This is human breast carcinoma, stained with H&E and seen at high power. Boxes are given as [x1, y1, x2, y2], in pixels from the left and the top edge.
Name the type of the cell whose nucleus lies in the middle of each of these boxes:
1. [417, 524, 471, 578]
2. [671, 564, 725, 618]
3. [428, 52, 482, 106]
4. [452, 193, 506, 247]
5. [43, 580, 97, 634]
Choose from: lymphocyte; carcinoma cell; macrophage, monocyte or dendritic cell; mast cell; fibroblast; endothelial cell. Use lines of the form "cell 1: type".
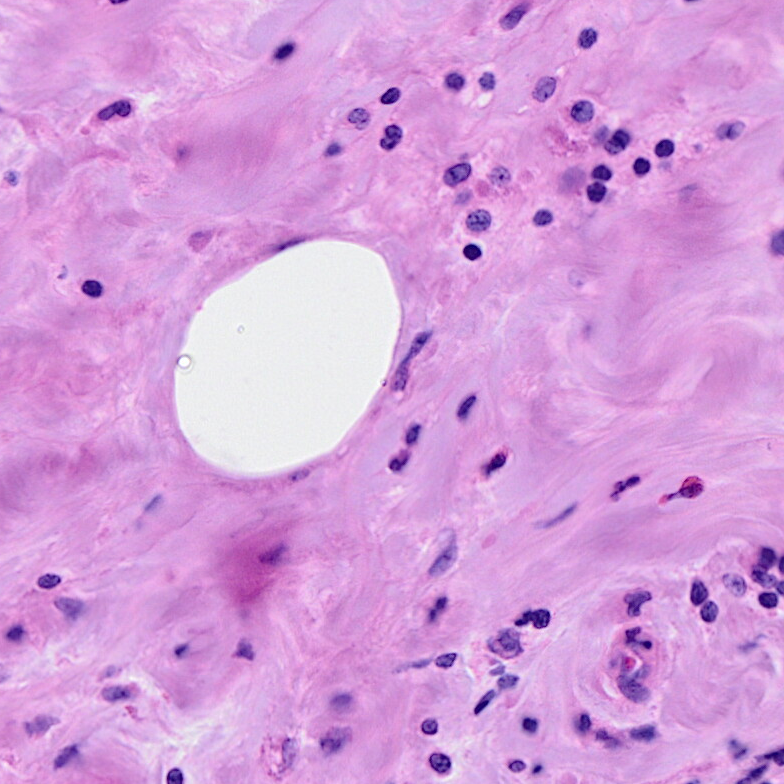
cell 1: fibroblast
cell 2: lymphocyte
cell 3: lymphocyte
cell 4: mast cell
cell 5: fibroblast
